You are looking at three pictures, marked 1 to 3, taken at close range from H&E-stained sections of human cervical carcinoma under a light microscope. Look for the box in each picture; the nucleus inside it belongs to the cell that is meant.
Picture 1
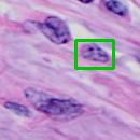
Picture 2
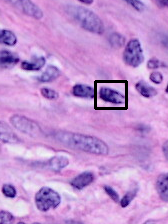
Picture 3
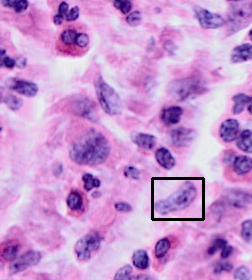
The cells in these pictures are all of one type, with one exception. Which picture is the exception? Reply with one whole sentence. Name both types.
The others show “macrophages or monocytes”, but picture 2 shows a lymphocyte.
